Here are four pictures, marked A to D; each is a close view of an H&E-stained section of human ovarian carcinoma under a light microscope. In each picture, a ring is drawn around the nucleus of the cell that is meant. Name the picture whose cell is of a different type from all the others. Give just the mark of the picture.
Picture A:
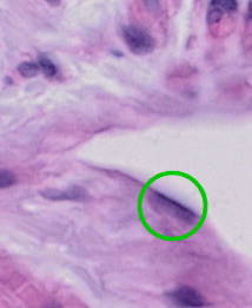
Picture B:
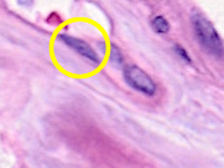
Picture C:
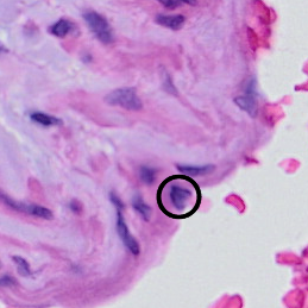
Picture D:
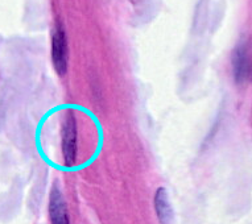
D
